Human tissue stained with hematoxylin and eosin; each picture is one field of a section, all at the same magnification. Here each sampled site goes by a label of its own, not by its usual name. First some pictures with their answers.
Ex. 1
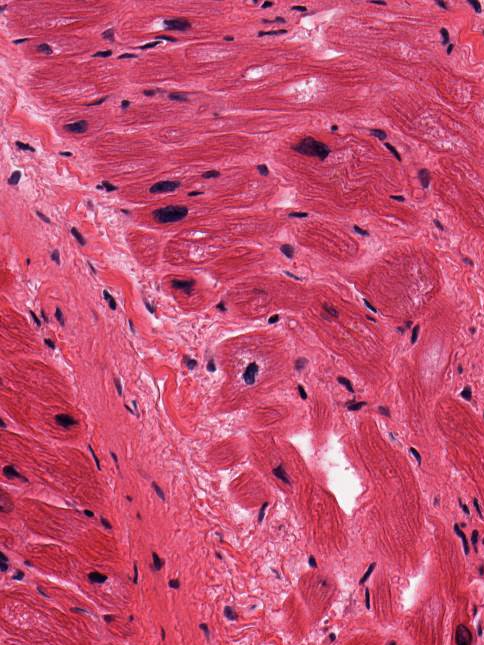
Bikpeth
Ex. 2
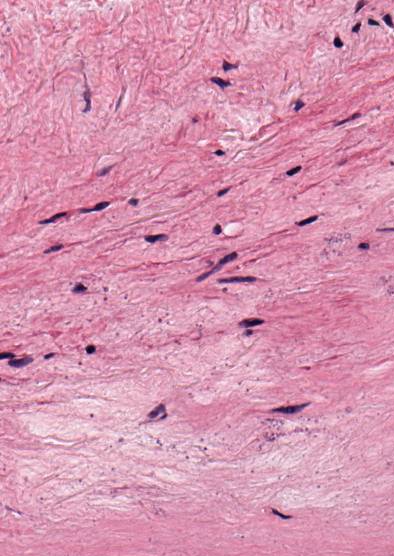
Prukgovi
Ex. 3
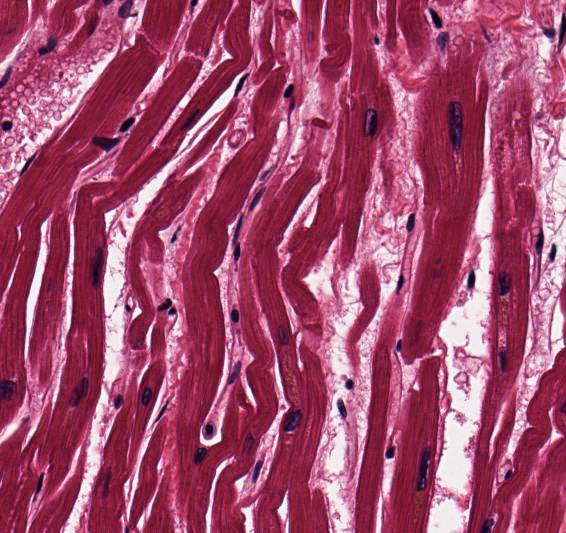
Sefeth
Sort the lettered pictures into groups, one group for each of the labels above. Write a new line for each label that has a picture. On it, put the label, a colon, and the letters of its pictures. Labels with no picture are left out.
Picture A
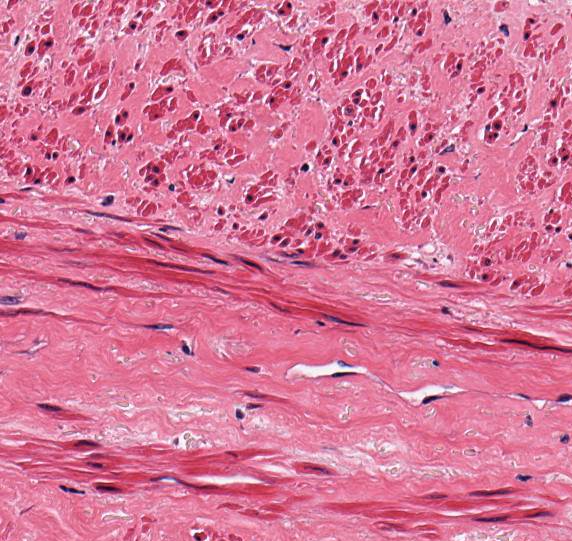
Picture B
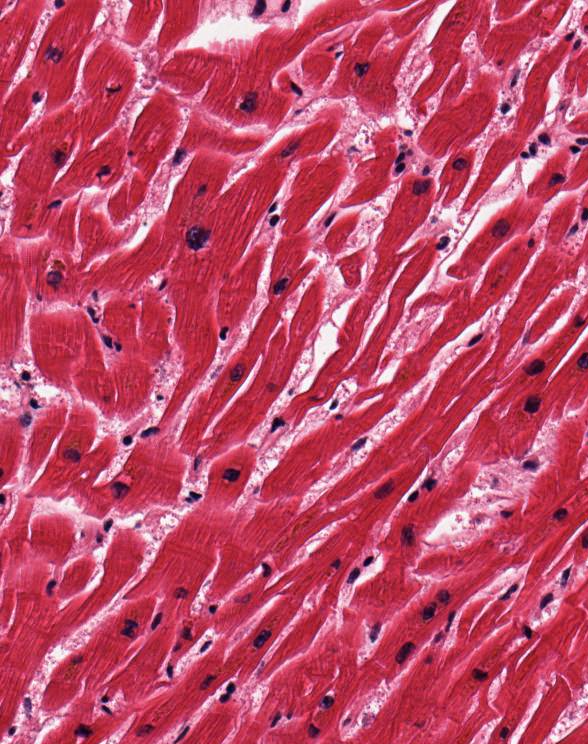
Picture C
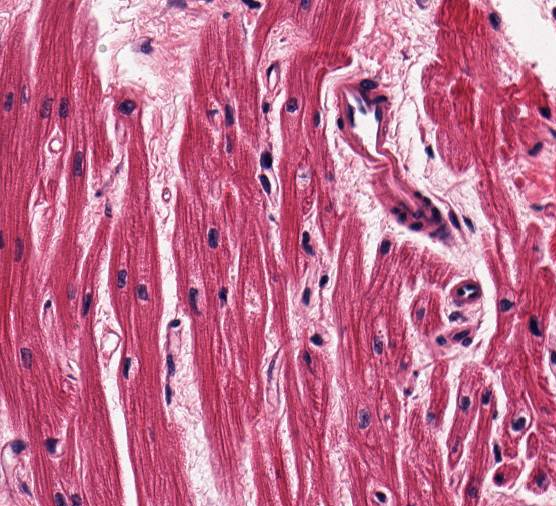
Bikpeth: C
Prukgovi: A
Sefeth: B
